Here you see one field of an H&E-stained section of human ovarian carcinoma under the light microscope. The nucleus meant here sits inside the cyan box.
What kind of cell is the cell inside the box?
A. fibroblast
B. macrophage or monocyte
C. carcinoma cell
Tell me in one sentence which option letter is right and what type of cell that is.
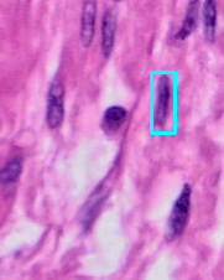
In keeping with option A, the cell inside the box is a fibroblast.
